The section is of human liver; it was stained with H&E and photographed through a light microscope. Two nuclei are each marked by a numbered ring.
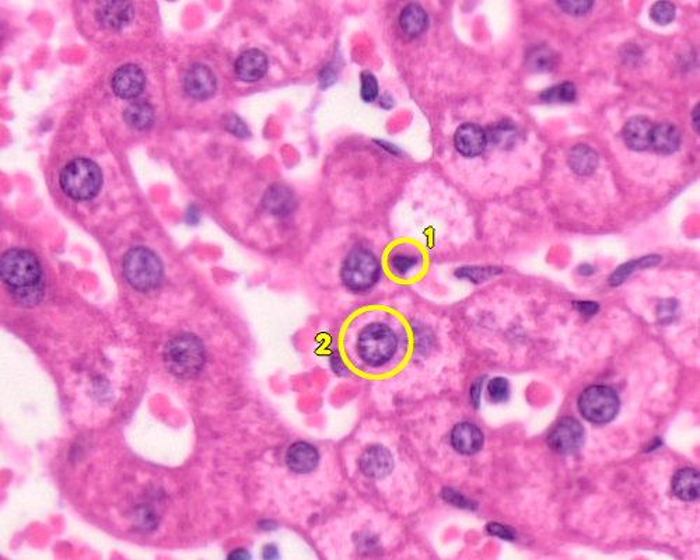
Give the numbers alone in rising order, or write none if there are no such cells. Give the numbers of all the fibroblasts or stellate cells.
1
